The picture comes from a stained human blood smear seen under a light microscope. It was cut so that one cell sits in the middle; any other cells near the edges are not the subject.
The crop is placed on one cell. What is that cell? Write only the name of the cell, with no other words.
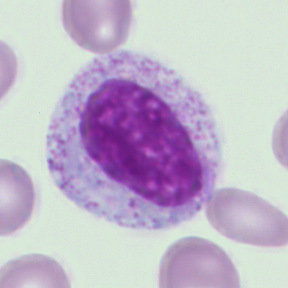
myelocyte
